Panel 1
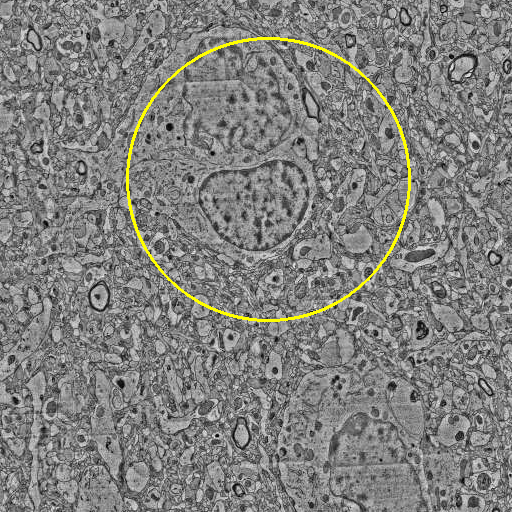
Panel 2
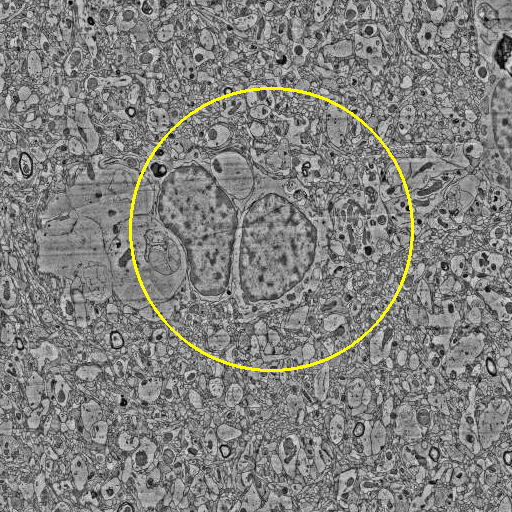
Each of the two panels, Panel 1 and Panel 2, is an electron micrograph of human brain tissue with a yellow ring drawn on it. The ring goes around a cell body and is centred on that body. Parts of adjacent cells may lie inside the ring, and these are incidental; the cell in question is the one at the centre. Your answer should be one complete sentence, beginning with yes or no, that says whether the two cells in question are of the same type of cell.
Yes, the two cells are of the same type.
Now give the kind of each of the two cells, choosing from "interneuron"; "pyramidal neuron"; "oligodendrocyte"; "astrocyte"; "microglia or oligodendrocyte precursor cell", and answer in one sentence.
In both pictures the ring is centred on a microglial cell or oligodendrocyte precursor cell.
